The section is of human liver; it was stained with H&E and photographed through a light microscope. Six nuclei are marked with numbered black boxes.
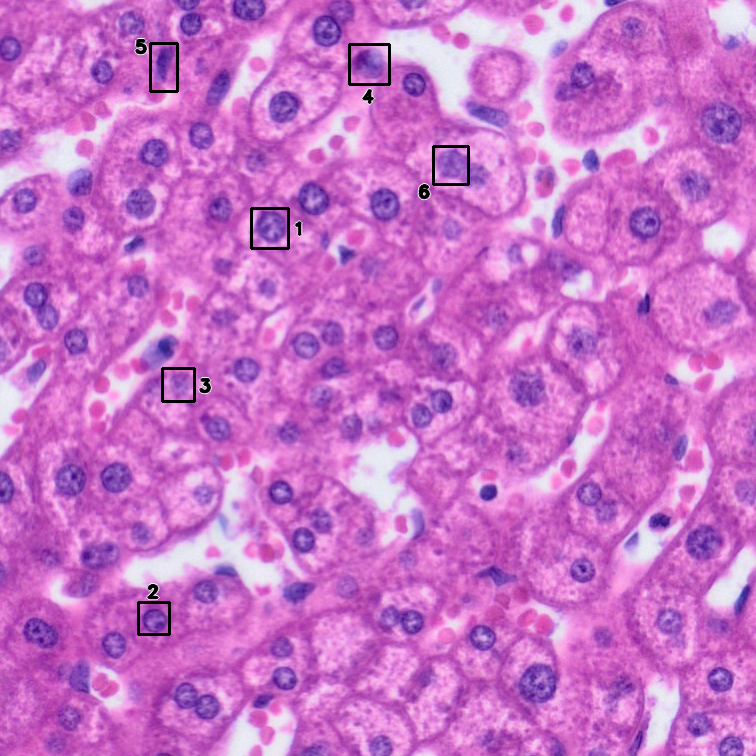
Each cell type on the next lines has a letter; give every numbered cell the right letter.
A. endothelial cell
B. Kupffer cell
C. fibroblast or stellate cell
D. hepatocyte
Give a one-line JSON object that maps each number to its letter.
{"1": "D", "2": "D", "3": "D", "4": "A", "5": "C", "6": "D"}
